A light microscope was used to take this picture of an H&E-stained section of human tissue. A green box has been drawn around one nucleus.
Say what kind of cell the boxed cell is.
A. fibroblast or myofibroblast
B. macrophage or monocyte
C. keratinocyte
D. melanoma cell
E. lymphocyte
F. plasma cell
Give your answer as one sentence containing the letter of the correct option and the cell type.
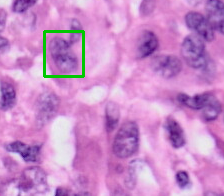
Since the boxed cell is a melanoma cell, option D is correct.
